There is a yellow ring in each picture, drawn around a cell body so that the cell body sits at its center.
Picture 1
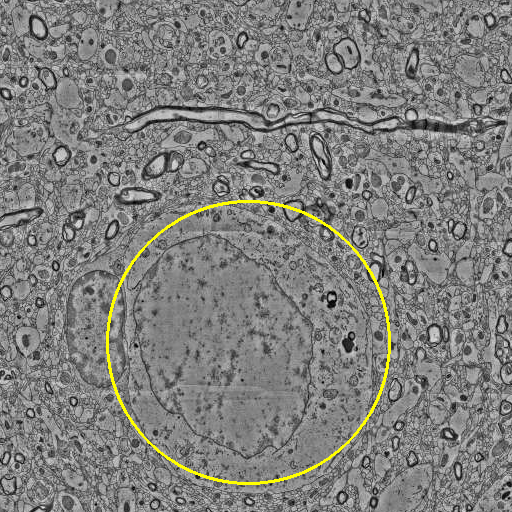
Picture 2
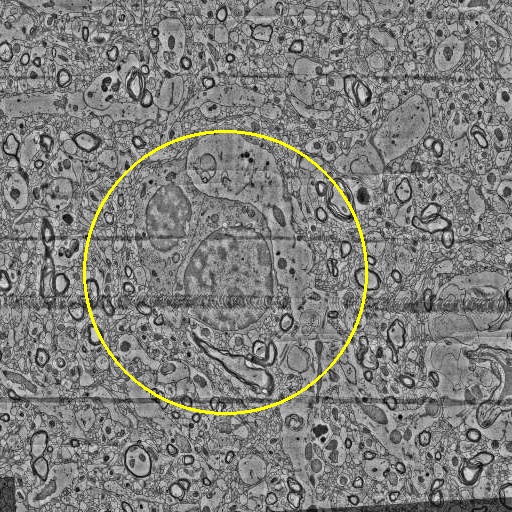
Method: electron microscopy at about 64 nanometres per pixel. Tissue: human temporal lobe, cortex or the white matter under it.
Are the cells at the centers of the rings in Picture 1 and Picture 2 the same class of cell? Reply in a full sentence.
No, the two cells are two classes of cell.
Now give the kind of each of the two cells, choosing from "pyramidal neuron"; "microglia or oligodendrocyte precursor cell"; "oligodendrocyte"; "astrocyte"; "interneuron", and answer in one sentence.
The cell in the first picture is a pyramidal neuron, and the cell in the second is an oligodendrocyte.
